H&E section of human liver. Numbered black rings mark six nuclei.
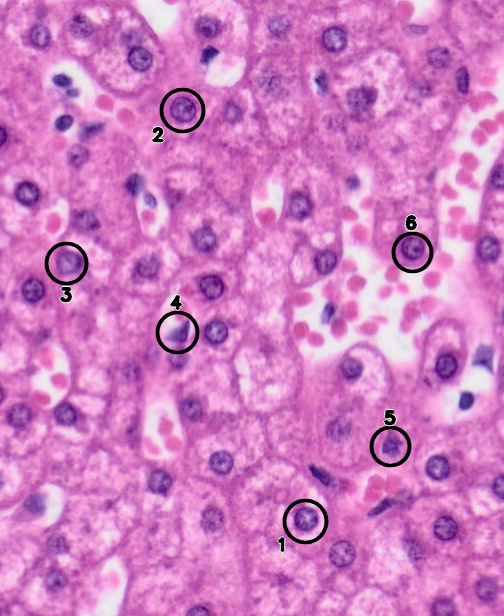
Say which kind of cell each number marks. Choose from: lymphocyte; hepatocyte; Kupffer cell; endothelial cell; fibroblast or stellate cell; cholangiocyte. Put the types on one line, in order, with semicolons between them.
hepatocyte; hepatocyte; hepatocyte; endothelial cell; fibroblast or stellate cell; hepatocyte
